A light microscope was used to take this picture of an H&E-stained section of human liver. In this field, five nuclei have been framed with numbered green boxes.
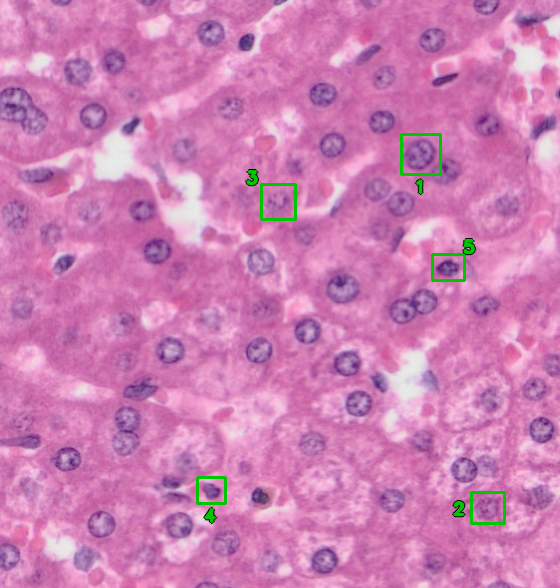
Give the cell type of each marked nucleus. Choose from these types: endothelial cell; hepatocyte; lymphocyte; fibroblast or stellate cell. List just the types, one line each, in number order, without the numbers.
hepatocyte
hepatocyte
hepatocyte
lymphocyte
fibroblast or stellate cell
